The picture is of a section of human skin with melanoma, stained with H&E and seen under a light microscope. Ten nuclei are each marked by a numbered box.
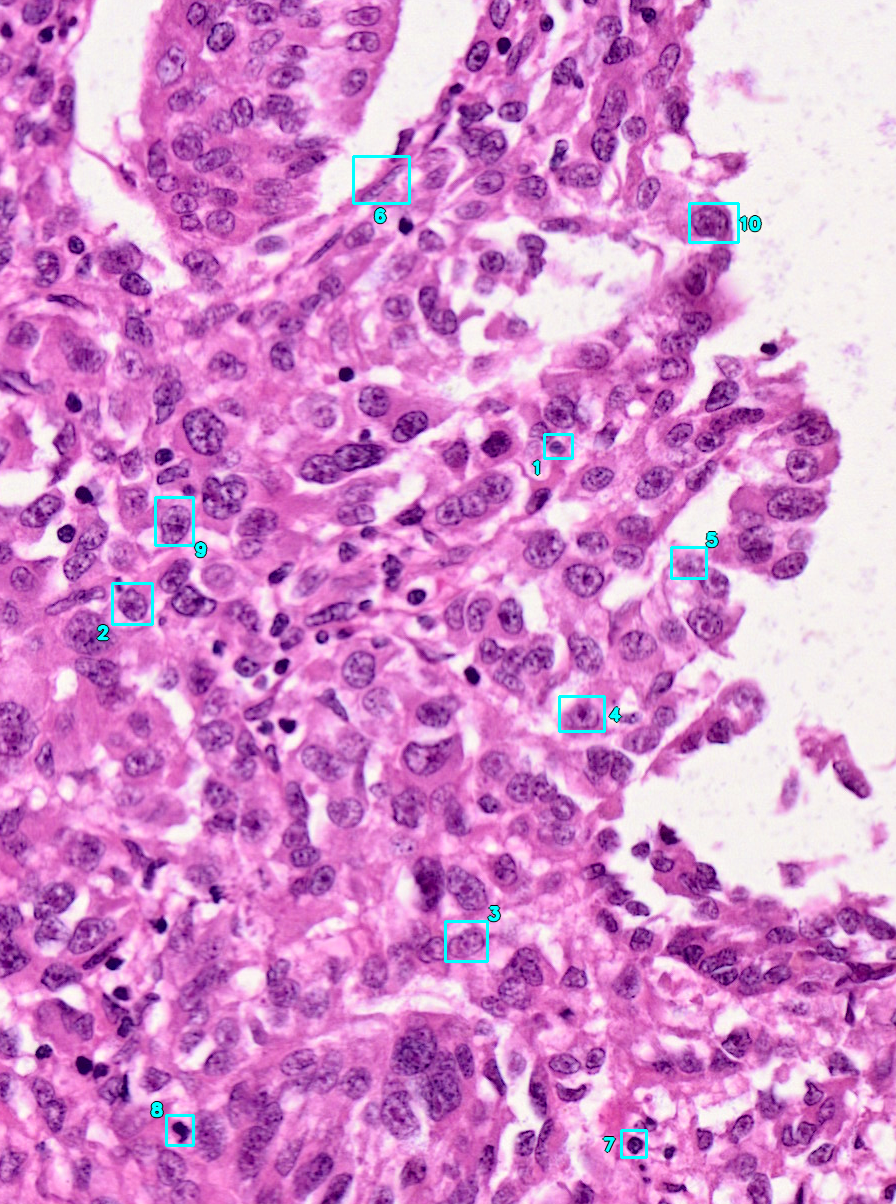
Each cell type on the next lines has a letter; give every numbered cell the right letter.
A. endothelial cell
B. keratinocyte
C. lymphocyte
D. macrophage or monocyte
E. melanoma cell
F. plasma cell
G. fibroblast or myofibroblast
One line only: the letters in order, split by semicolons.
C; E; E; E; E; D; C; C; E; E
